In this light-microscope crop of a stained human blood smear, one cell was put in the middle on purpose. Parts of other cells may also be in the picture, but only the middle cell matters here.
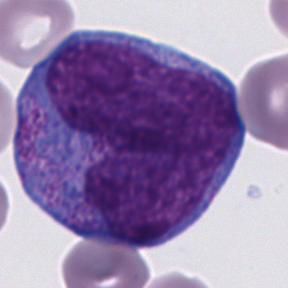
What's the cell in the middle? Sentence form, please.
The cell in the middle of this crop is a promyelocyte.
